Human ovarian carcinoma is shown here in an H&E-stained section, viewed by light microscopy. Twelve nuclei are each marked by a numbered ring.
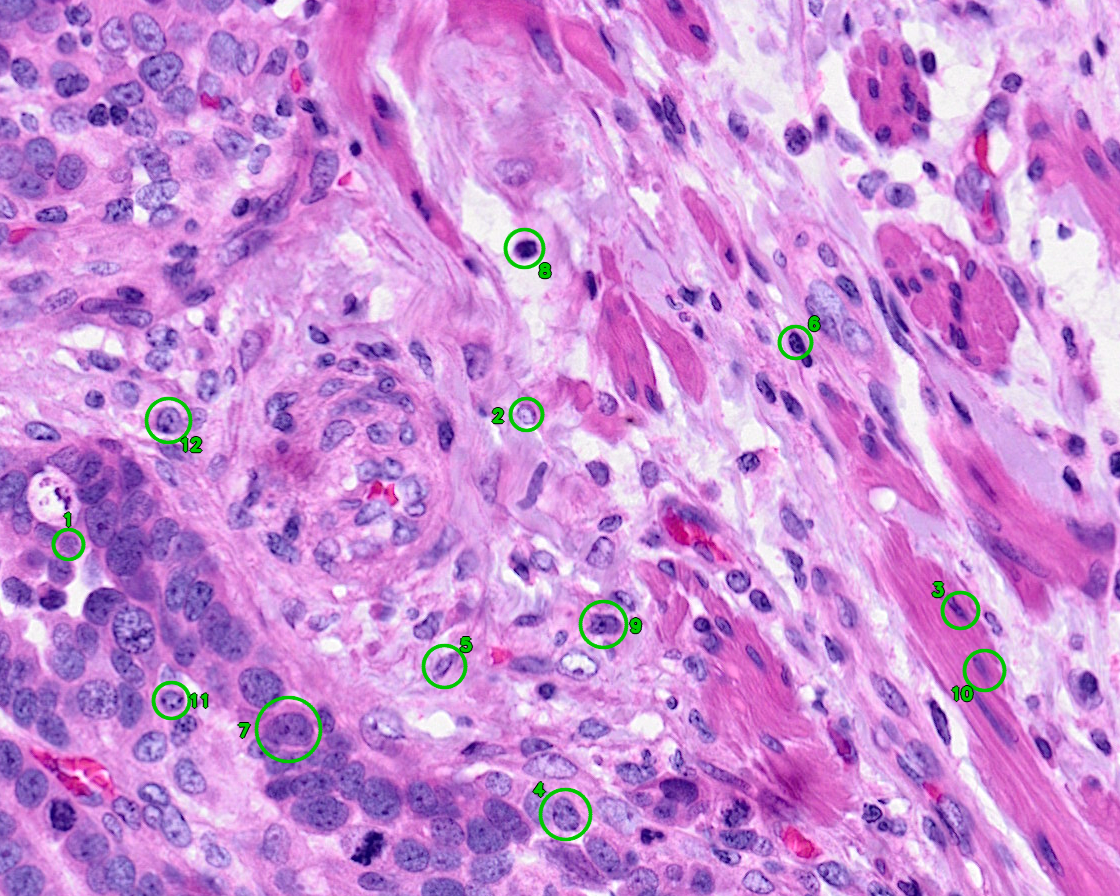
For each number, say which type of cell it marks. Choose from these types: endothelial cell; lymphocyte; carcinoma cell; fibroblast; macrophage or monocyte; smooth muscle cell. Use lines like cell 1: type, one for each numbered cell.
cell 1: carcinoma cell
cell 2: fibroblast
cell 3: smooth muscle cell
cell 4: macrophage or monocyte
cell 5: fibroblast
cell 6: lymphocyte
cell 7: carcinoma cell
cell 8: lymphocyte
cell 9: macrophage or monocyte
cell 10: smooth muscle cell
cell 11: macrophage or monocyte
cell 12: macrophage or monocyte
